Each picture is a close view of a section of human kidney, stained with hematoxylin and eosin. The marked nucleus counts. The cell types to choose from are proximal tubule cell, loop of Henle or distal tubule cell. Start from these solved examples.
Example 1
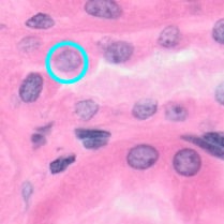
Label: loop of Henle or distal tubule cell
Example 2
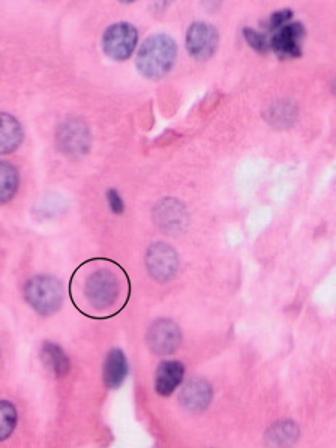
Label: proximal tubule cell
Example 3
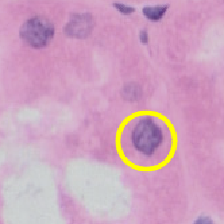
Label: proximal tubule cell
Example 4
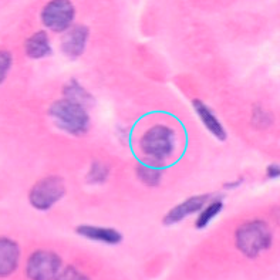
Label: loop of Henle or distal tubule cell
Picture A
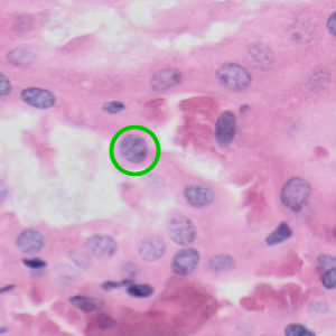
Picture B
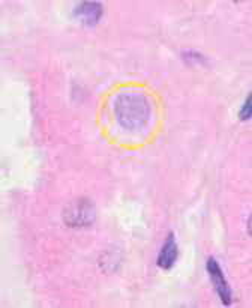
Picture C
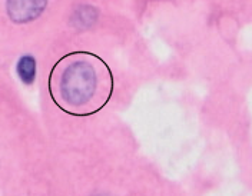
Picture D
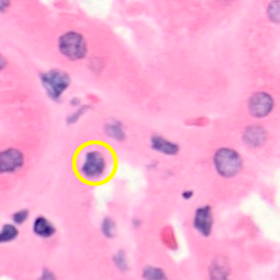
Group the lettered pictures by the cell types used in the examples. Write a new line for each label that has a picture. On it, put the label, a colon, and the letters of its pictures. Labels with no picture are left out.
proximal tubule cell: B, C
loop of Henle or distal tubule cell: A, D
